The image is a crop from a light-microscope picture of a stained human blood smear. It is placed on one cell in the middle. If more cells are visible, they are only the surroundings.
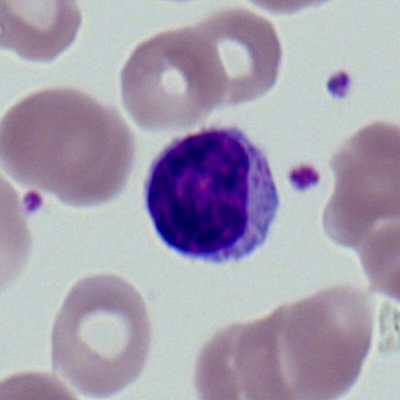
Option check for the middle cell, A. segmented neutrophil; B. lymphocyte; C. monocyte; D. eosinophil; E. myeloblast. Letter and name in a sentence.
Identified correctly by option B, the cell in the middle is a lymphocyte.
